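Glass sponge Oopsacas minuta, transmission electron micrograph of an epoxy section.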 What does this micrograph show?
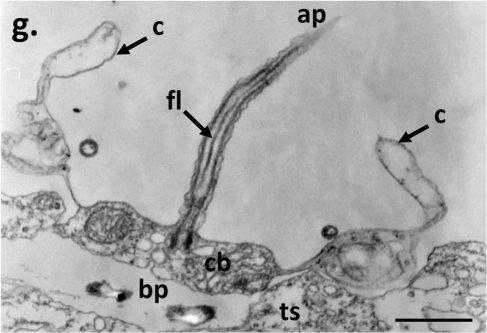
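From the low cell body a single long flagellum rises towards the apical pole, its internal longitudinal lines of the axoneme clearly visible. The cell body holds mitochondria and small vesicles, and its basal side faces the syncytial tissue below, so the cell has an evident apical to basal polarity.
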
